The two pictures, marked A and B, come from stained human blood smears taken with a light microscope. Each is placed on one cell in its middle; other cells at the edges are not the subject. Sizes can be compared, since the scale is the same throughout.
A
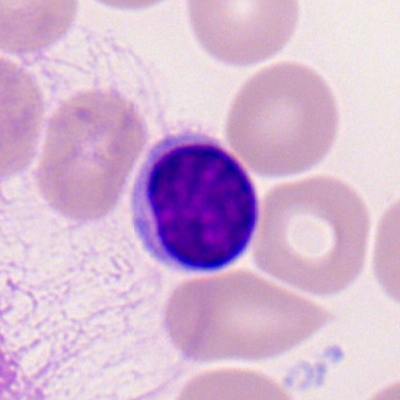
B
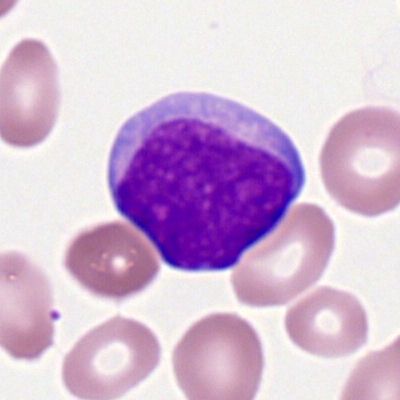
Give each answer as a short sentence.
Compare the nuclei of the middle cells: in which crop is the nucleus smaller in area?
Crop A shows the smaller nucleus, since that in crop B covers about 1.5 times as much area.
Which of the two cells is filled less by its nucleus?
In crop B the nucleus takes up the smaller part of its cell.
